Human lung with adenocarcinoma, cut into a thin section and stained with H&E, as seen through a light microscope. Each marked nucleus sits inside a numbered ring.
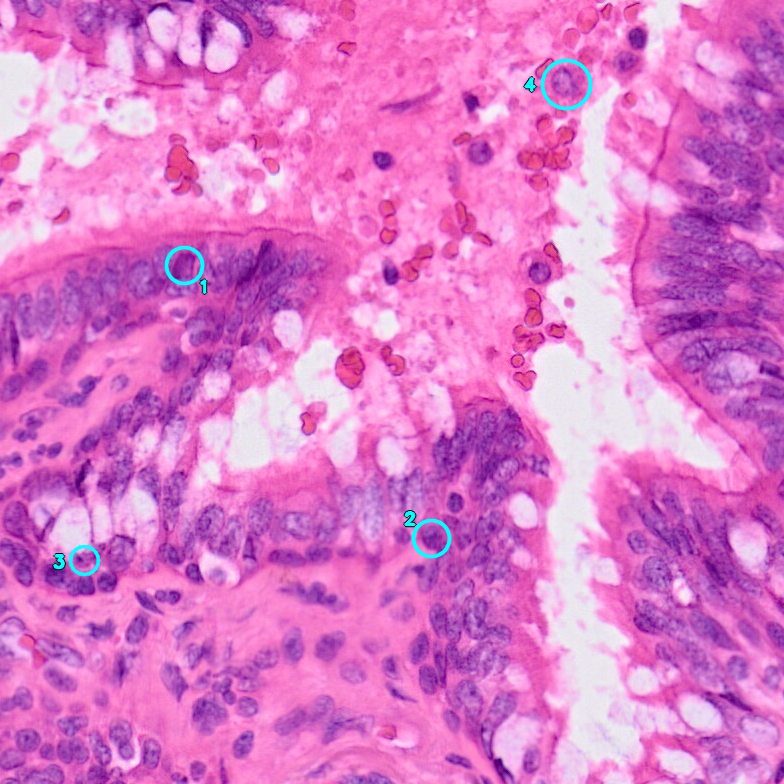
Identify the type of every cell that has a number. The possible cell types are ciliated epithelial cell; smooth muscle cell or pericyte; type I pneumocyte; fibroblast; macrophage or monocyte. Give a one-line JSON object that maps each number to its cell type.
{"1": "ciliated epithelial cell", "2": "ciliated epithelial cell", "3": "ciliated epithelial cell", "4": "macrophage or monocyte"}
